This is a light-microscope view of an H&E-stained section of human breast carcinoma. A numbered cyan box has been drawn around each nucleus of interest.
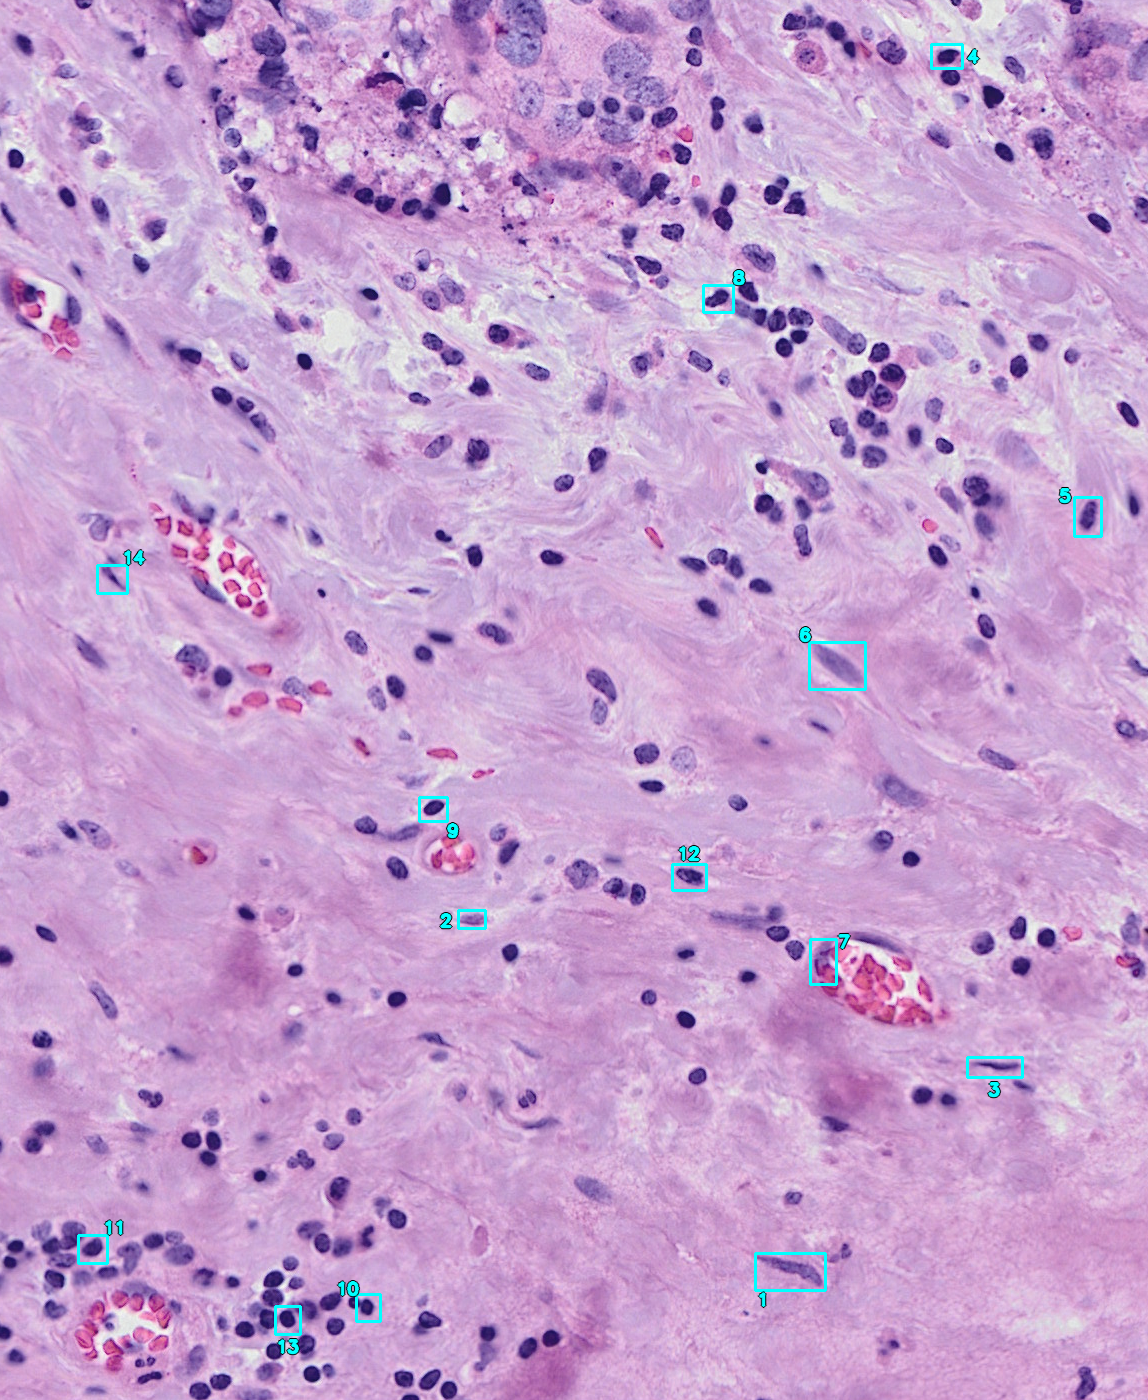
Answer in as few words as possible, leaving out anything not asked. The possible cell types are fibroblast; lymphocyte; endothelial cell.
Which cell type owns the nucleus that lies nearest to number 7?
lymphocyte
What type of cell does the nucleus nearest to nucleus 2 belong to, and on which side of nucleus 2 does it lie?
a lymphocyte; below and to the right of nucleus 2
